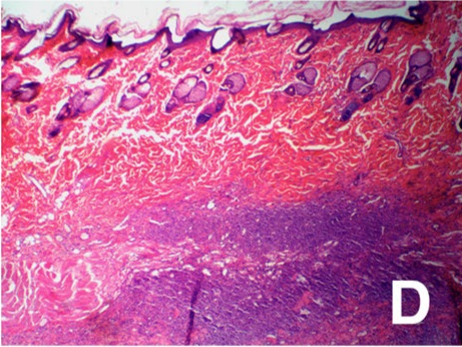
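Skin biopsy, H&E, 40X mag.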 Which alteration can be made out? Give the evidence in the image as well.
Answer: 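A broad dense band of purple nuclei lies in the lower part of the section. The upper dermis above it is pink collagen with follicles. So: an evident inflammatory lesion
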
